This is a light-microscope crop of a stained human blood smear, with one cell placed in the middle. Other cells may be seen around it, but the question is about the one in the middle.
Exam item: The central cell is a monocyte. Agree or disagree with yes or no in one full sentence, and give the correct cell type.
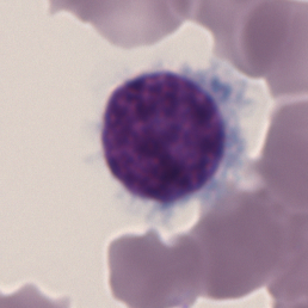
No, not a monocyte: the cell in the middle of this crop is a hairy cell.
